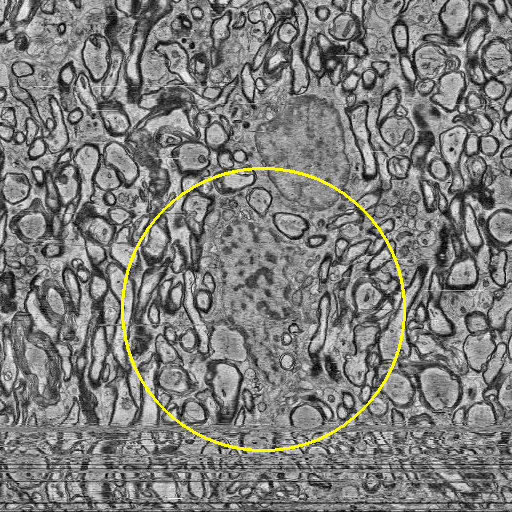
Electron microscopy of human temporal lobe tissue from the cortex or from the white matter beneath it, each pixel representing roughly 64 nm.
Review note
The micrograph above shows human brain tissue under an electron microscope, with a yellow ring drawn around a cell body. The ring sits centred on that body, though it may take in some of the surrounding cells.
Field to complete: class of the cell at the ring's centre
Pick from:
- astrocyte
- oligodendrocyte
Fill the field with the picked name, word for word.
astrocyte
